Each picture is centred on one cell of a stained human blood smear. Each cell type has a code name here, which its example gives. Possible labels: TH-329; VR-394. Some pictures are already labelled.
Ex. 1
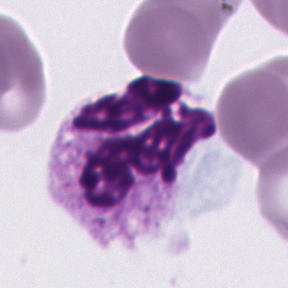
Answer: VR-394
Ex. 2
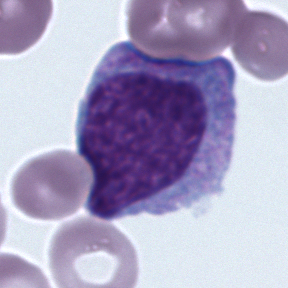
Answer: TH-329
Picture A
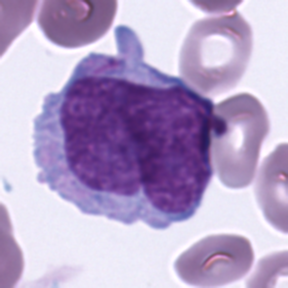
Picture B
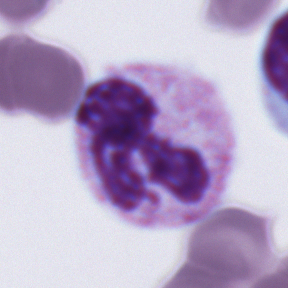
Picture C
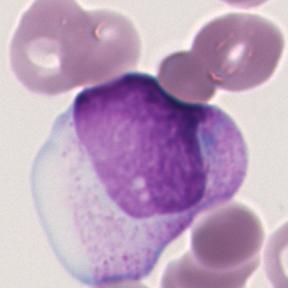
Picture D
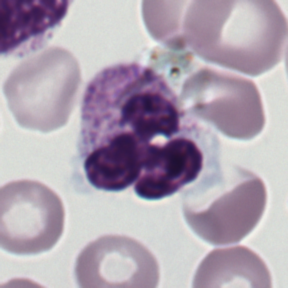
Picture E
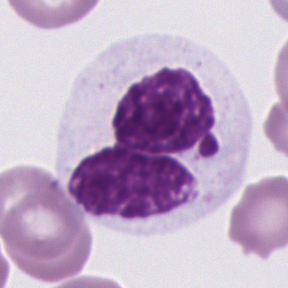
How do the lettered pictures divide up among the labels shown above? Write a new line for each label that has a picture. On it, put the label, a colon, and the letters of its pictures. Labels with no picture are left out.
TH-329: A, C
VR-394: B, D, E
